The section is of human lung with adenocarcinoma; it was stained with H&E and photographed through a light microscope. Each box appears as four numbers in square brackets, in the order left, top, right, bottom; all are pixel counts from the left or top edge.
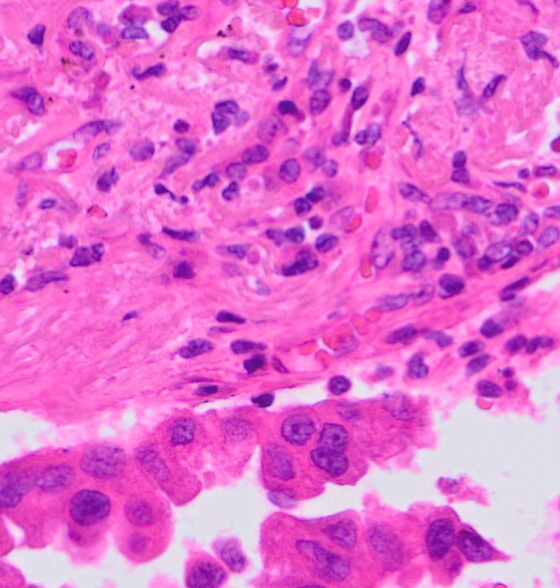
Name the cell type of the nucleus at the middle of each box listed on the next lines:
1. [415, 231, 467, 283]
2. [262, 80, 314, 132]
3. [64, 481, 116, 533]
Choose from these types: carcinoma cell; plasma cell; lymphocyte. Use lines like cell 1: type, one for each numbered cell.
cell 1: lymphocyte
cell 2: plasma cell
cell 3: carcinoma cell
